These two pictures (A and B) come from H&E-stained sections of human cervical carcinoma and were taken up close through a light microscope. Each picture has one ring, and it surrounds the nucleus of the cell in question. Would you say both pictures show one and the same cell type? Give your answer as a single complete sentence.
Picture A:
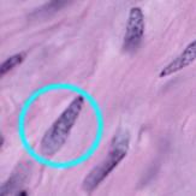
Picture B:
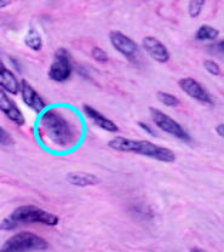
No; the cell in picture A is a fibroblast, while the one in picture B is an endothelial cell.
